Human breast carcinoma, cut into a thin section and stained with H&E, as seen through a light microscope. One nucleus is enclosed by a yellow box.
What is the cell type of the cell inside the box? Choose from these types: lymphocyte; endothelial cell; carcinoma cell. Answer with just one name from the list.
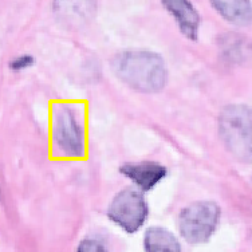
endothelial cell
